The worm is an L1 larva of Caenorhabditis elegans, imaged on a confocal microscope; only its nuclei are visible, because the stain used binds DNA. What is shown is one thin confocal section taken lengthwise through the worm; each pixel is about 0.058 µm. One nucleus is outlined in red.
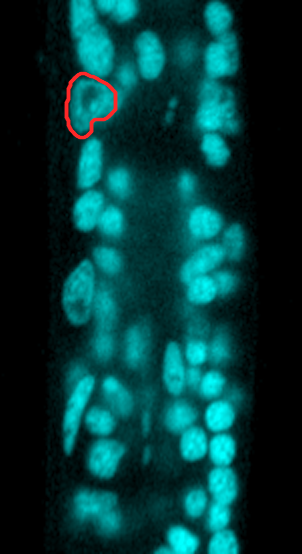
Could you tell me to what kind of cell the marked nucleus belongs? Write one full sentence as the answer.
This is the nucleus of a hypodermal cell (hyp).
